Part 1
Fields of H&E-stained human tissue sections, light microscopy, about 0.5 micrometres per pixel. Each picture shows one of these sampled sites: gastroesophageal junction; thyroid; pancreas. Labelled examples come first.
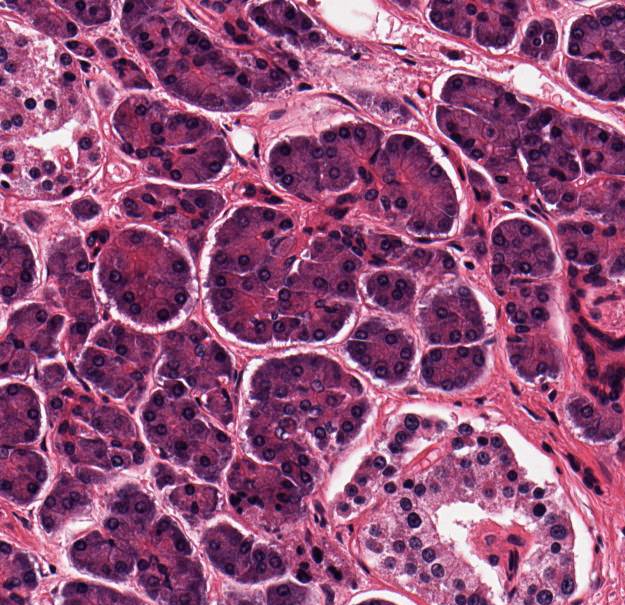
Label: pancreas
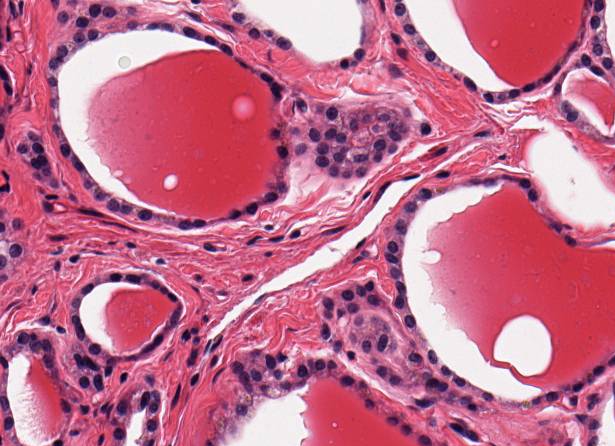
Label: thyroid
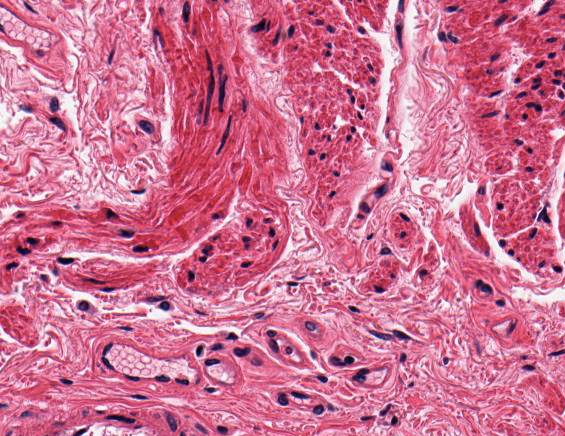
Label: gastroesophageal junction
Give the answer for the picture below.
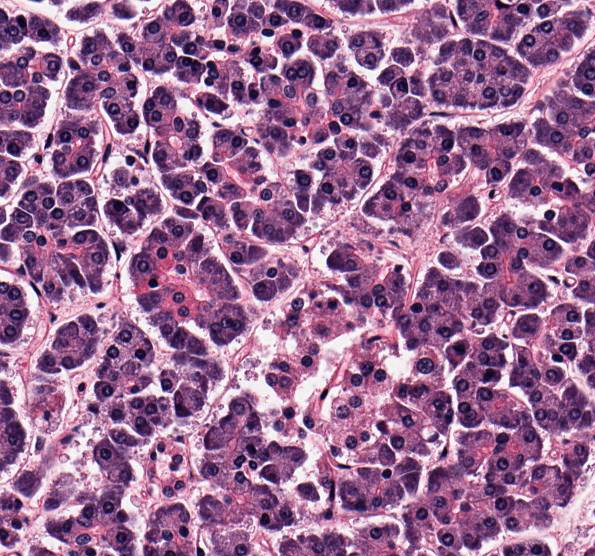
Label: pancreas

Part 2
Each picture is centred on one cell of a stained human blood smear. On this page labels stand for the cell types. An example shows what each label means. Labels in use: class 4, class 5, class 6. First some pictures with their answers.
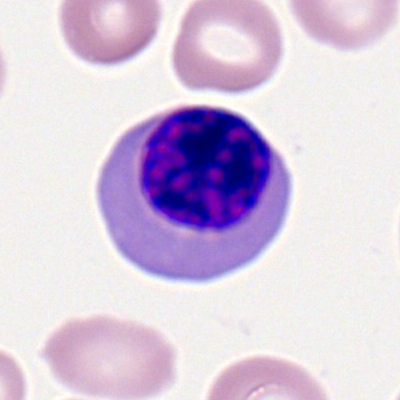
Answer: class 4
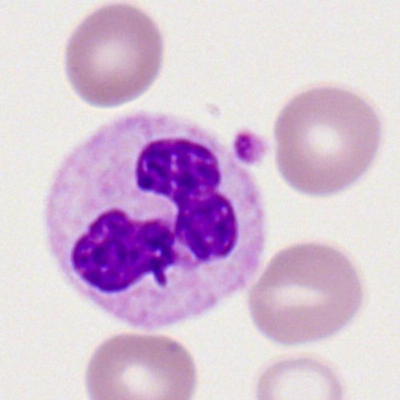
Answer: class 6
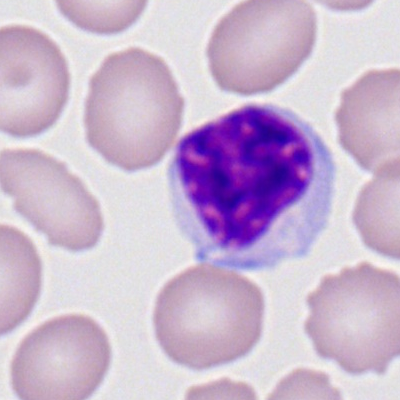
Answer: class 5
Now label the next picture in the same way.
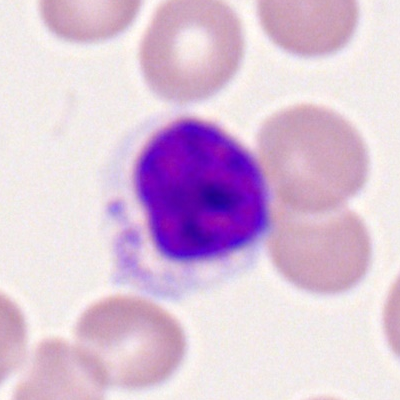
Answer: class 5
